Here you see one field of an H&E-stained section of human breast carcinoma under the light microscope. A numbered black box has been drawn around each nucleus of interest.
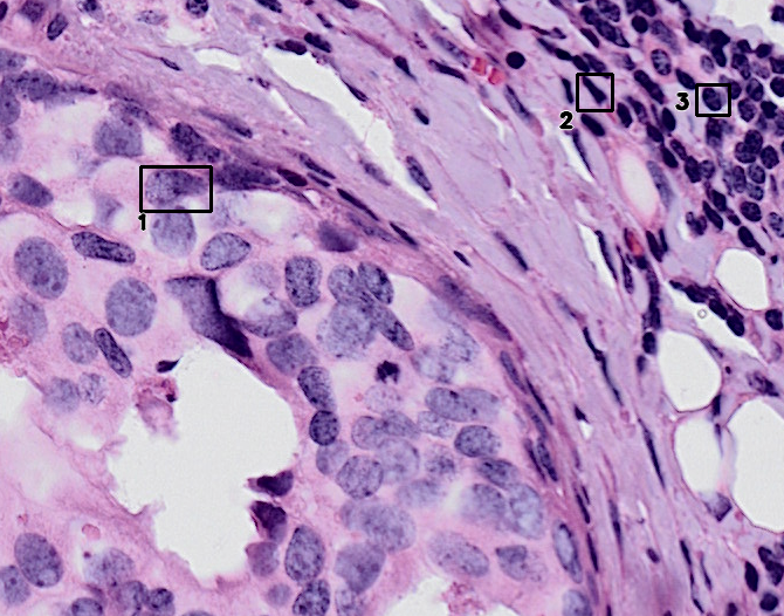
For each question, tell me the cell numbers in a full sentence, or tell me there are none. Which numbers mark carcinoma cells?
Only one choice fits: cell 1 is a carcinoma cell, and no other.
